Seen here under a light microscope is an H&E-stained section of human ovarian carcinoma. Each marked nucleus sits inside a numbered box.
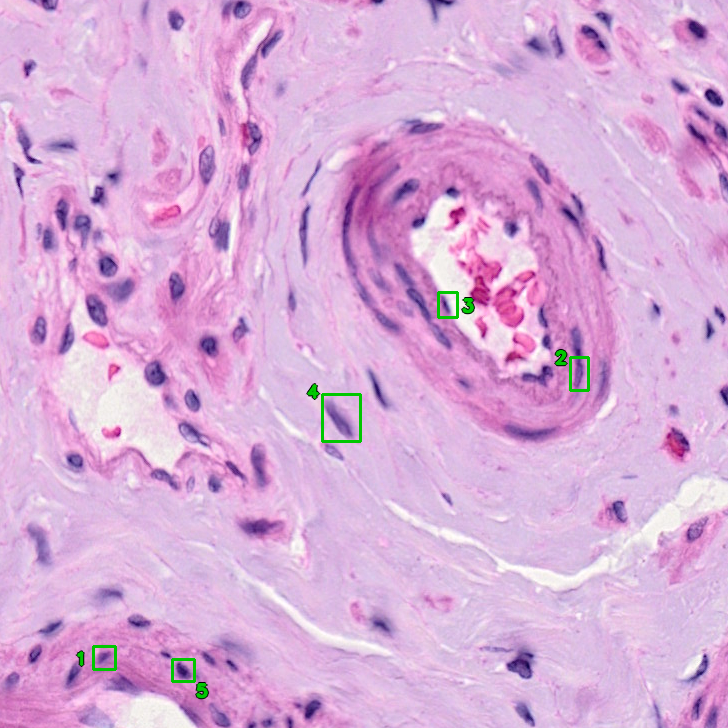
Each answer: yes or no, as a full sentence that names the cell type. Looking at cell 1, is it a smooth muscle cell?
Yes, the cell identified by number 1 is a smooth muscle cell.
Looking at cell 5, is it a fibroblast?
No, the cell marked 5 is a smooth muscle cell rather than a fibroblast.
